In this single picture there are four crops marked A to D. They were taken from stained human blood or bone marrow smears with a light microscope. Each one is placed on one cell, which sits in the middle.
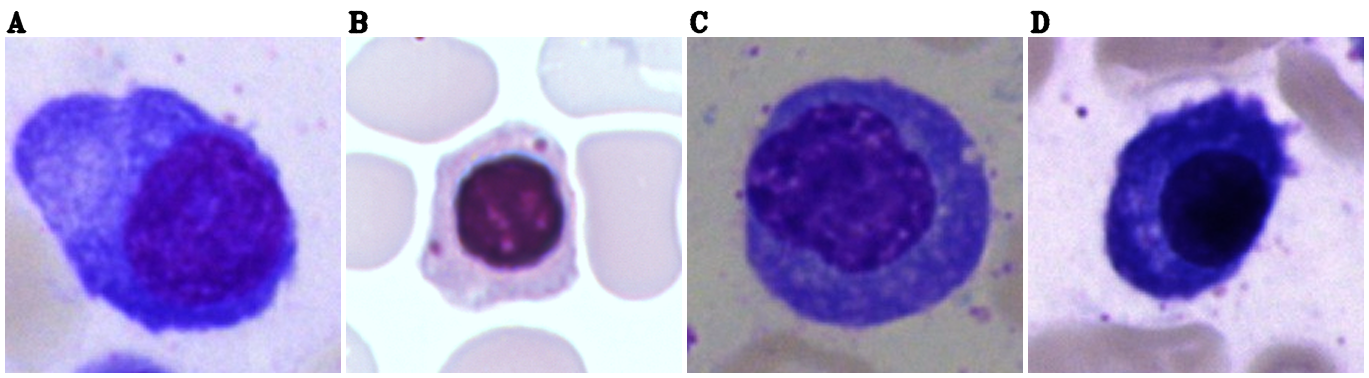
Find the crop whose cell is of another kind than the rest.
B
